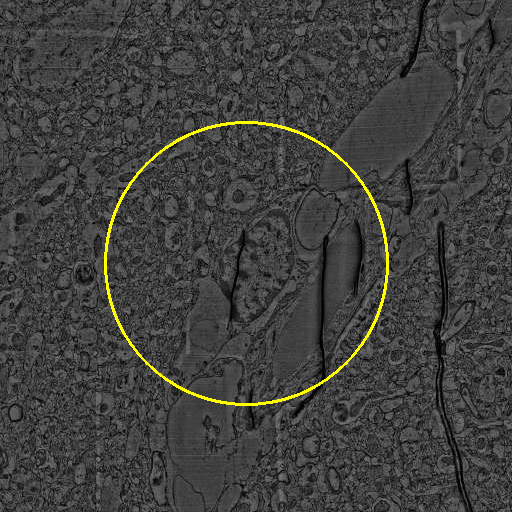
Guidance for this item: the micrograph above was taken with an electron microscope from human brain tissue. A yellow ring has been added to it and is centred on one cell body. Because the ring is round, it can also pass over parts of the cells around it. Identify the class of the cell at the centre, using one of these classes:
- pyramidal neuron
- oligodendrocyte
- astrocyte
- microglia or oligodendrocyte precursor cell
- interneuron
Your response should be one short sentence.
The ring surrounds the body of a microglial cell or oligodendrocyte precursor cell.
